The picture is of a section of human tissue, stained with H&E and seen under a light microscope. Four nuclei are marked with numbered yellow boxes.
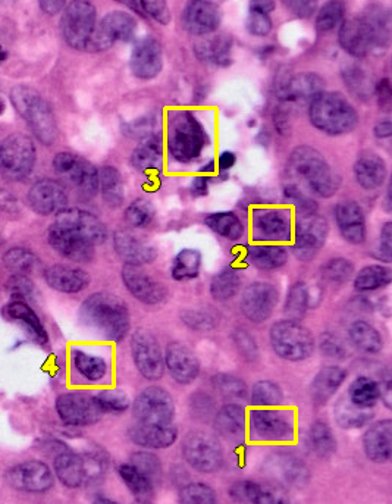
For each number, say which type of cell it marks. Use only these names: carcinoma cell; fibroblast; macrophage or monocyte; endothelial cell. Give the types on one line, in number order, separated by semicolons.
carcinoma cell; carcinoma cell; carcinoma cell; macrophage or monocyte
